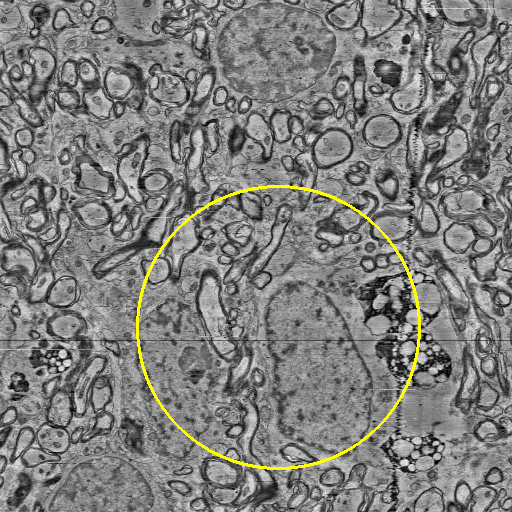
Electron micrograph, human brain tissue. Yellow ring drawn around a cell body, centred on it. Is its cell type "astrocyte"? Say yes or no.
yes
